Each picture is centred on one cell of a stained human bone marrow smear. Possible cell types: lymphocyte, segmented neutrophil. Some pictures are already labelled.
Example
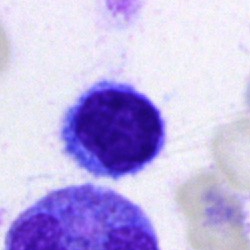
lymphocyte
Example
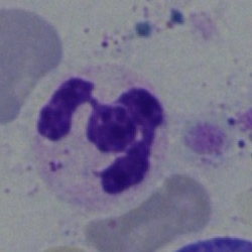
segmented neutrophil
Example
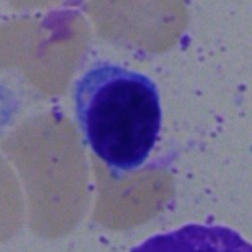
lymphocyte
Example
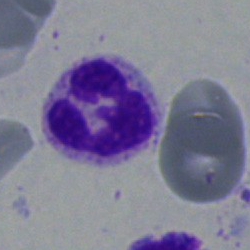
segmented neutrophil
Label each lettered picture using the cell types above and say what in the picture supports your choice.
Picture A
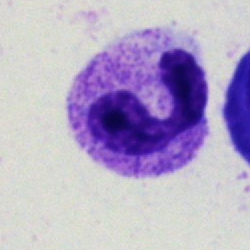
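Answer: segmented neutrophil. The cytoplasm is abundant and fills the hollow of the curved nucleus.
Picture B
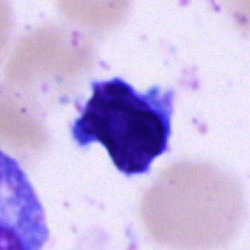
Answer: lymphocyte. Cytoplasm is scant, seen only as small pale blue areas at the margins.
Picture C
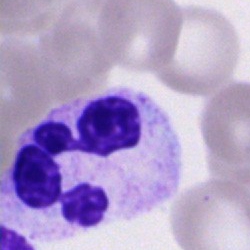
Answer: segmented neutrophil. The cytoplasm is abundant and pale pinkish-lilac.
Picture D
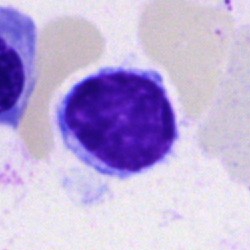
Answer: lymphocyte. The cytoplasm forms only a thin rim around the nucleus.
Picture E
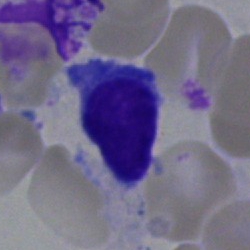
Answer: lymphocyte. The cytoplasm is scant and stains a deep blue.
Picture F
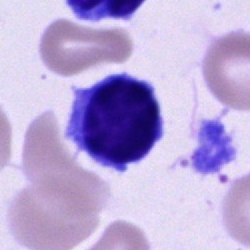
Answer: lymphocyte. The cytoplasm is only a scant rim, widest on the left.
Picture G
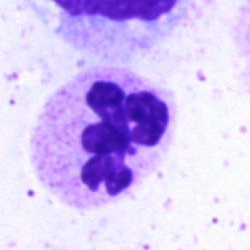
Answer: segmented neutrophil. The cytoplasm is abundant and pale pinkish-lilac.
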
